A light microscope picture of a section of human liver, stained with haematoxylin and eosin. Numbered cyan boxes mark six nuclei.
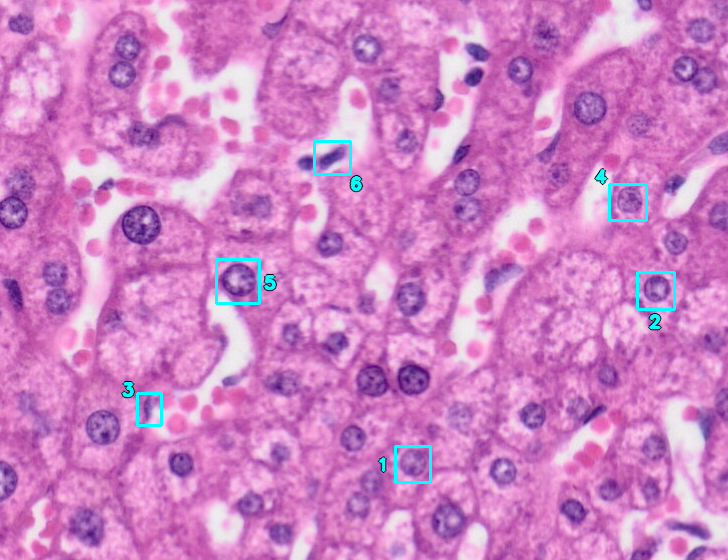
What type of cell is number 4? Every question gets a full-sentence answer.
Heads up, the cell numbered 4 is a hepatocyte.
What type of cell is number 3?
The cell that is numbered 3 is an endothelial cell.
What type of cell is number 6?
The nucleus labelled 6 belongs to a lymphocyte.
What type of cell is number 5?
Here the cell numbered 5 is a hepatocyte.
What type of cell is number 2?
The cell that bears the number 2 is a hepatocyte.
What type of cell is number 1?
In the tissue shown, cell 1 is a hepatocyte.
